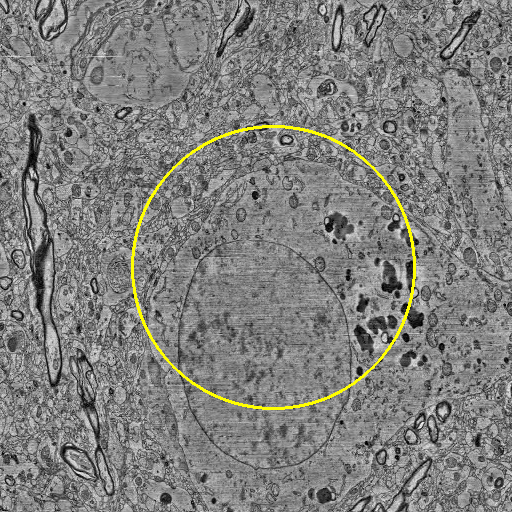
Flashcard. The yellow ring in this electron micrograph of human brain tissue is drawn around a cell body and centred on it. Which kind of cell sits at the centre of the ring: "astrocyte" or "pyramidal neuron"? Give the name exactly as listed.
pyramidal neuron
